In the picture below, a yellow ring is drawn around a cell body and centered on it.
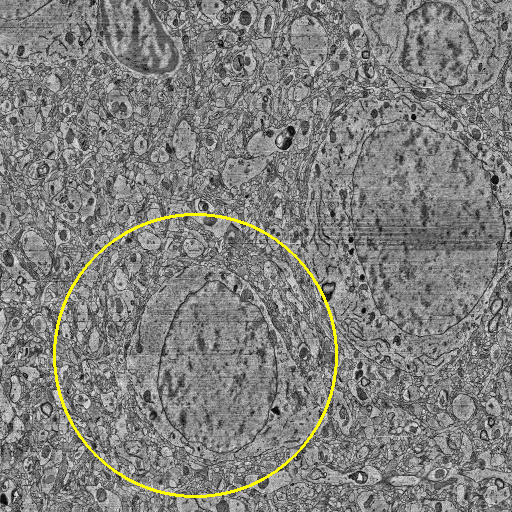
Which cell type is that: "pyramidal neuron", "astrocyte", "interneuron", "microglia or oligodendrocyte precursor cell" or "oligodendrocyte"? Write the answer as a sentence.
The cell centered in the ring is a pyramidal neuron.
